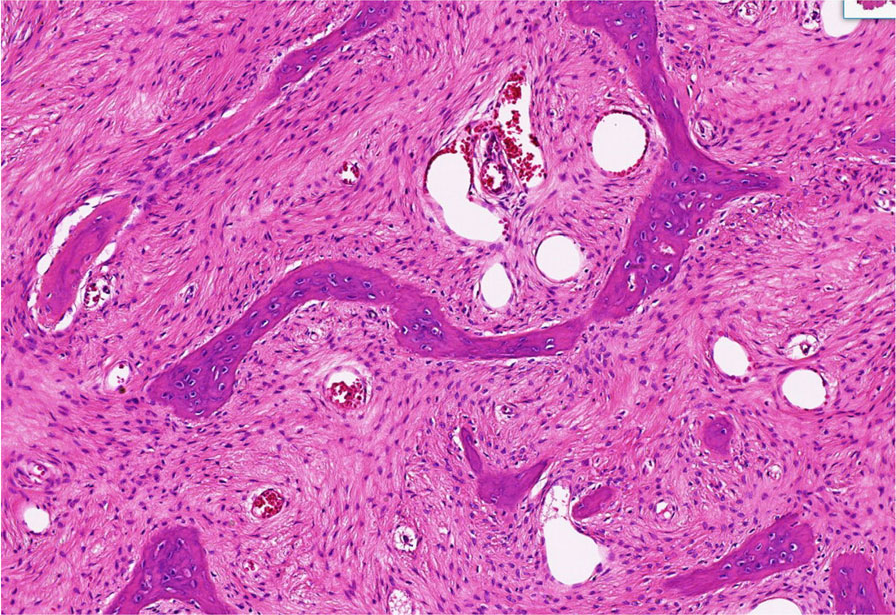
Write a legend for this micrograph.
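This is fibrous dysplasia: a fibrous stroma of bland spindle cells with irregular bone trabeculae scattered through it. The spindle cells have small, elongated, uniform nuclei and lie in pale pink collagen, in loose whorls and streams. The trabeculae are thin, curved and branching, stained a deeper pink-purple, with cells sitting in lacunae inside them. Their surfaces are not lined by a row of plump cells. Small blood vessels holding red cells and a few clear round spaces are scattered through the stroma.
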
